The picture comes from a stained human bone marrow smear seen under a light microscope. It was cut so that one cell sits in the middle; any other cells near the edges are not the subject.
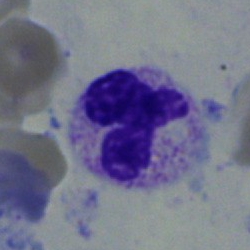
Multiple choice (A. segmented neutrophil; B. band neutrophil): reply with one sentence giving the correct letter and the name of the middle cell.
The cell positioned centrally is a segmented neutrophil, as given in option A, which is correct.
